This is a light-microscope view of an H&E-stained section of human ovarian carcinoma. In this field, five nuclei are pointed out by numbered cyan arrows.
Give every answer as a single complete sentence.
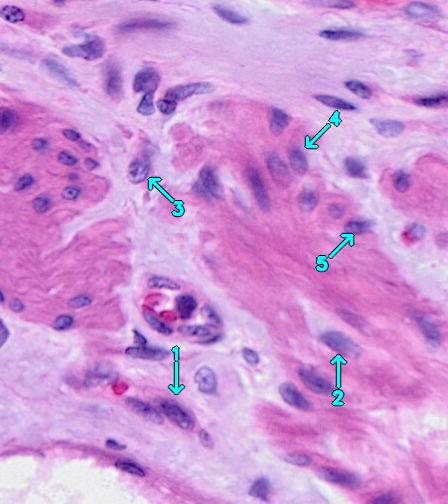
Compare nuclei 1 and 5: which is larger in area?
Nucleus 1 is the larger one, covering about 1.5 times the area of nucleus 5.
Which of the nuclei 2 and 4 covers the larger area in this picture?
Nucleus 2 covers more area, about 2 times as much as nucleus 4.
